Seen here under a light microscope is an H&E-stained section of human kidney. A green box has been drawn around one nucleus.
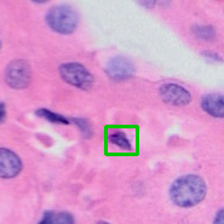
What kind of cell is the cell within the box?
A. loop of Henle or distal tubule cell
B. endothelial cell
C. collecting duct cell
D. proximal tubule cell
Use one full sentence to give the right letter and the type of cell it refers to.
It is as option B has it, the cell within the box being an endothelial cell.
